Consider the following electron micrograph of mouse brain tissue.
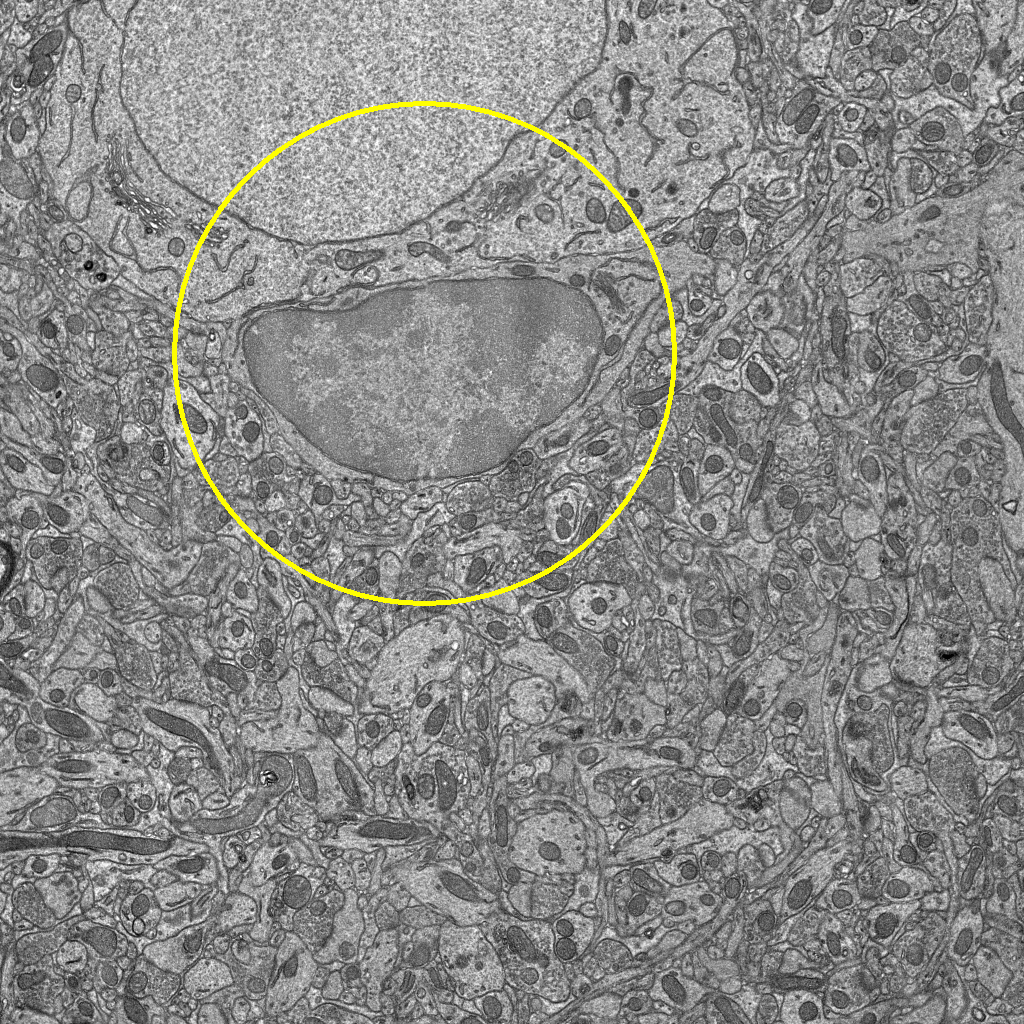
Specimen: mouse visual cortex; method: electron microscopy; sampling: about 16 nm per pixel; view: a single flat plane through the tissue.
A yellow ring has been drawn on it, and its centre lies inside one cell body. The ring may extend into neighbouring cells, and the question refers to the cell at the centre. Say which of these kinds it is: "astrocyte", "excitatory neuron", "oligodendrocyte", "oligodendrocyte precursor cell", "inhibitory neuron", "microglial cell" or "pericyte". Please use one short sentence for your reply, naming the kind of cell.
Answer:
The centre of the ring falls on a microglial cell.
